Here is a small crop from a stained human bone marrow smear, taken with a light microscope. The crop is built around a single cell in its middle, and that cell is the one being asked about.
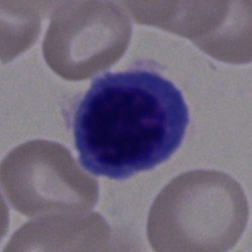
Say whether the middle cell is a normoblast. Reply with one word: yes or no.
yes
